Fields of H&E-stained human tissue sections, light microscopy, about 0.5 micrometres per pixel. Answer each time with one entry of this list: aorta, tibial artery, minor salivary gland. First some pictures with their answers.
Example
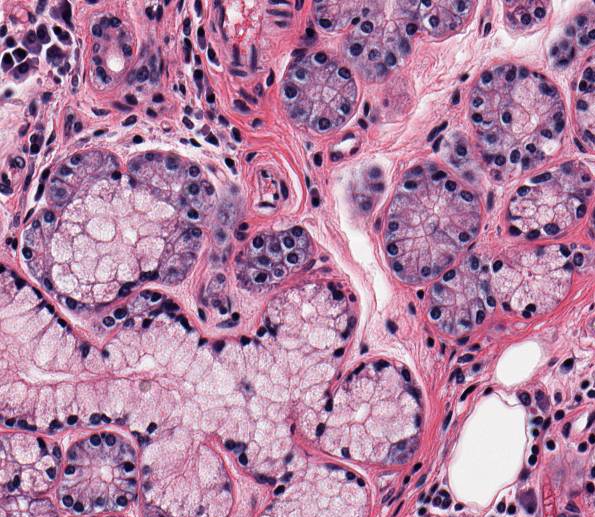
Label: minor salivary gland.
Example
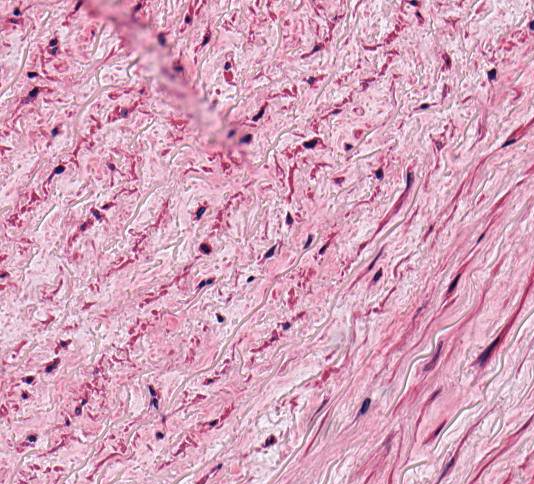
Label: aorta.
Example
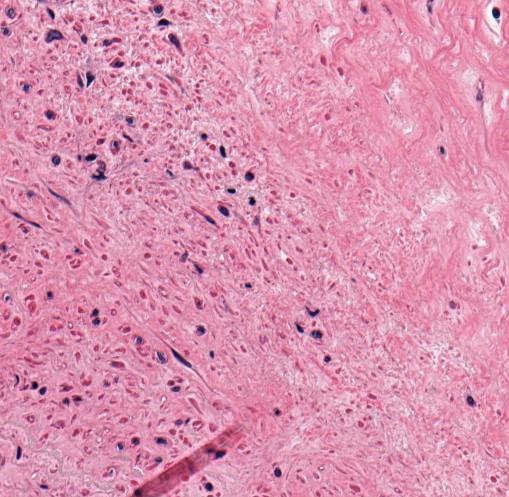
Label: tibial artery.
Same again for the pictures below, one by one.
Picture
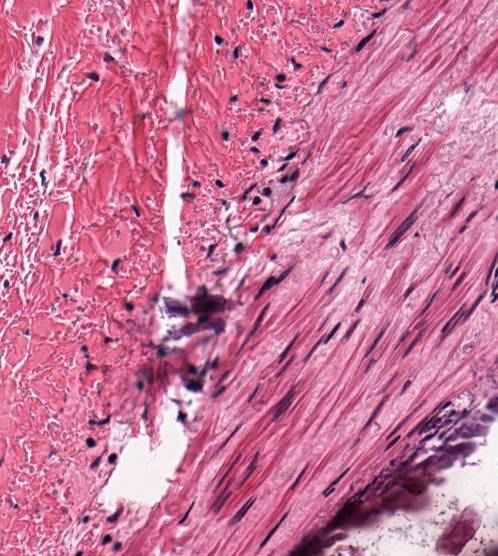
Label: tibial artery.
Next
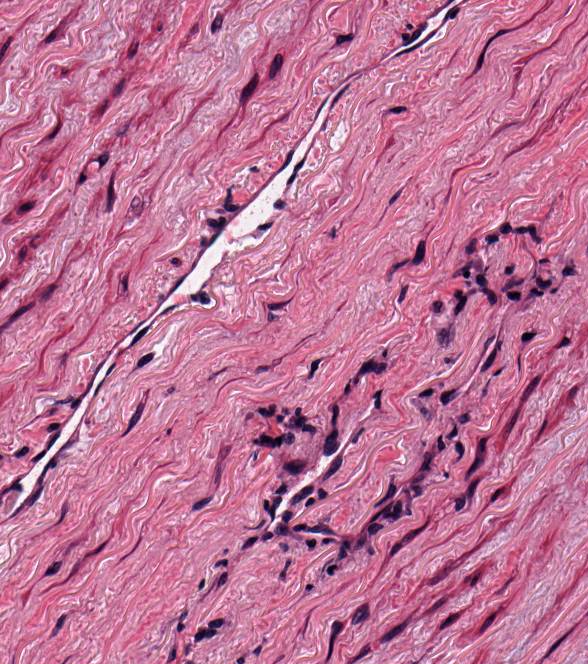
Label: aorta.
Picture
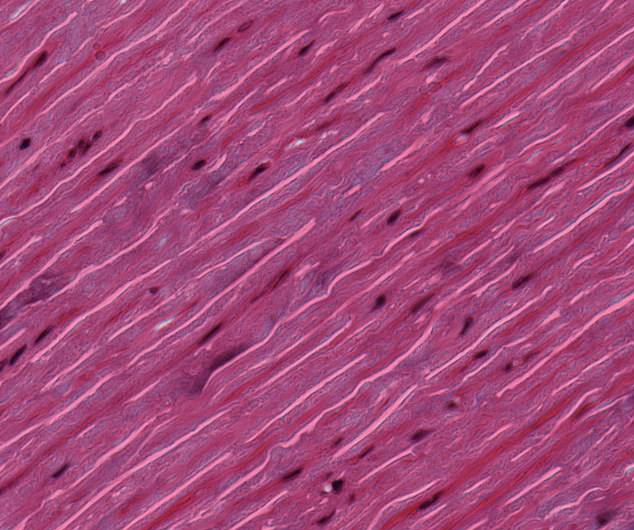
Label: aorta.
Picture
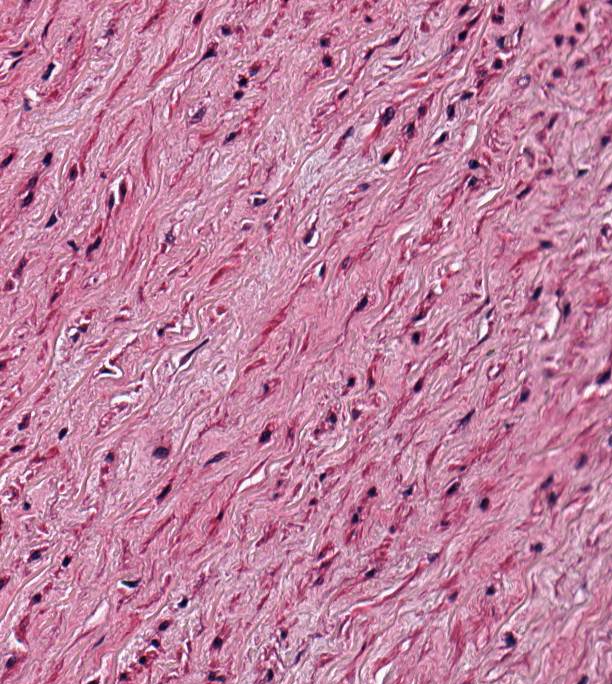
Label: aorta.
